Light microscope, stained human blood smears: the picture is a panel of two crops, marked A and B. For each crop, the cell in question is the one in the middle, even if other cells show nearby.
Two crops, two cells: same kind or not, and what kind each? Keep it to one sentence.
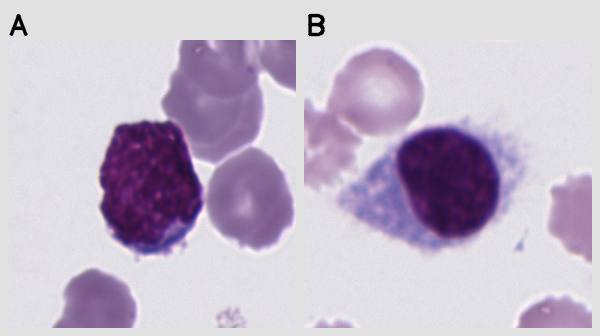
No, in fact crop A shows a myeloblast, and crop B shows a hairy cell.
